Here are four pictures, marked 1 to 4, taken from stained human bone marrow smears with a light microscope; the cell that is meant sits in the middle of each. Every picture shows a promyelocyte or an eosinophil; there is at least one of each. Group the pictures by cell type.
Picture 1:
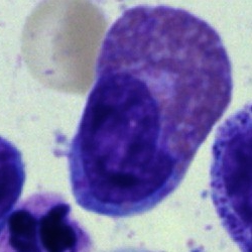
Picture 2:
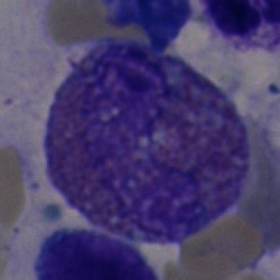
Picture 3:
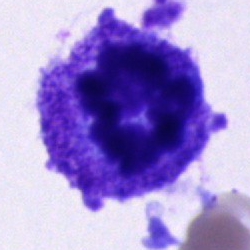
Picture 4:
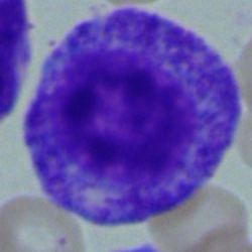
1: eosinophil
2: eosinophil
3: promyelocyte
4: promyelocyte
